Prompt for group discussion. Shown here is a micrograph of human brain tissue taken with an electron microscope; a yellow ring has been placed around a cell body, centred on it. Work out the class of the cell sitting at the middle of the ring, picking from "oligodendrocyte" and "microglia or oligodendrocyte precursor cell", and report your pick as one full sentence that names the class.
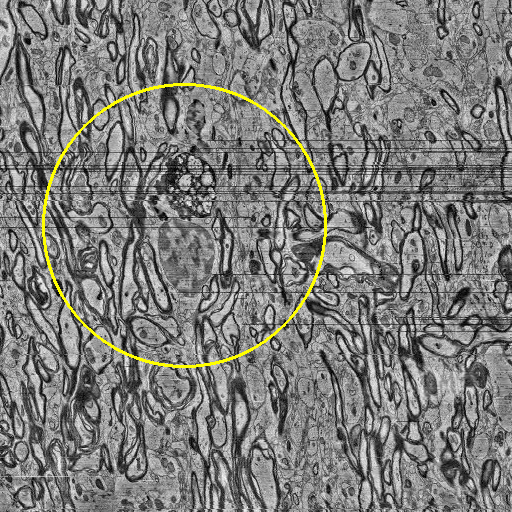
The cell sitting at the middle of the yellow ring is a microglial cell or oligodendrocyte precursor cell.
